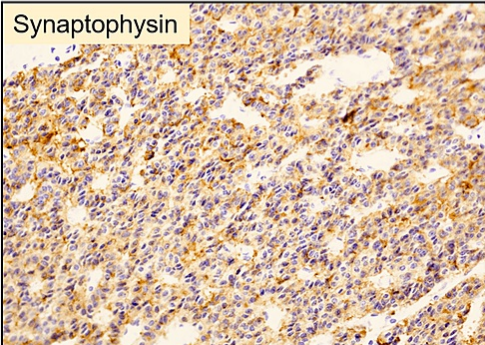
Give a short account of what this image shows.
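Closely packed tumor cells fill the field, with blue round to oval nuclei surrounded by brown-stained cytoplasm. The brown stain is granular and diffuse, present in most cells across the sheet, while the nuclei remain unstained blue. Small empty spaces and clefts break up the sheet in places. The tumor cells are thus broadly positive in their cytoplasm.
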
